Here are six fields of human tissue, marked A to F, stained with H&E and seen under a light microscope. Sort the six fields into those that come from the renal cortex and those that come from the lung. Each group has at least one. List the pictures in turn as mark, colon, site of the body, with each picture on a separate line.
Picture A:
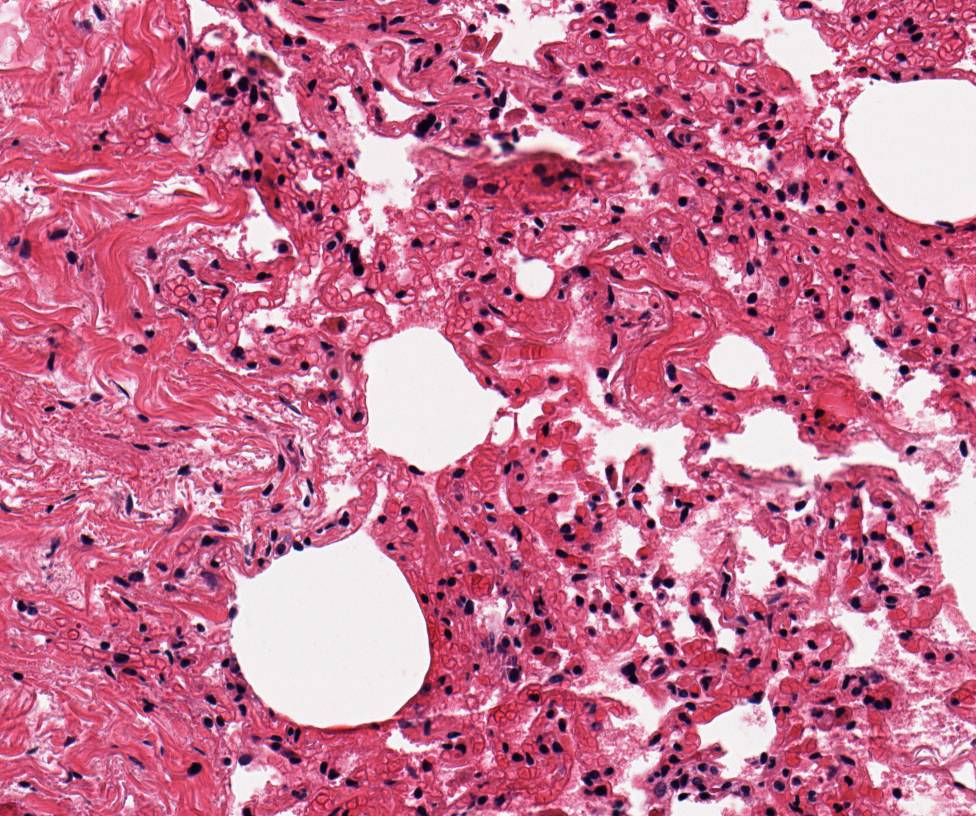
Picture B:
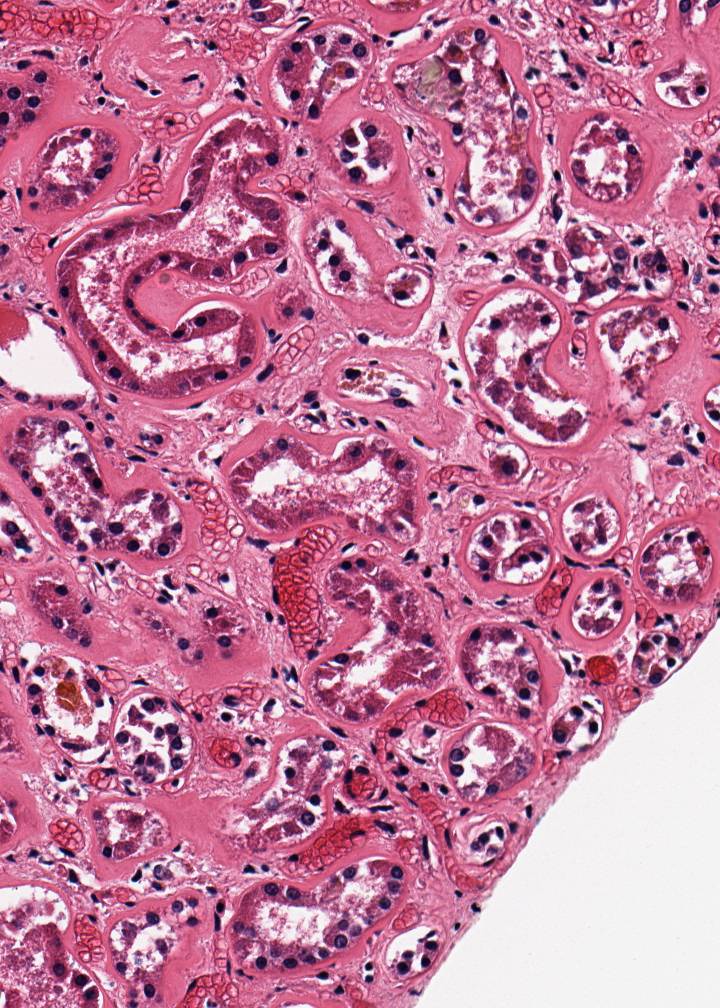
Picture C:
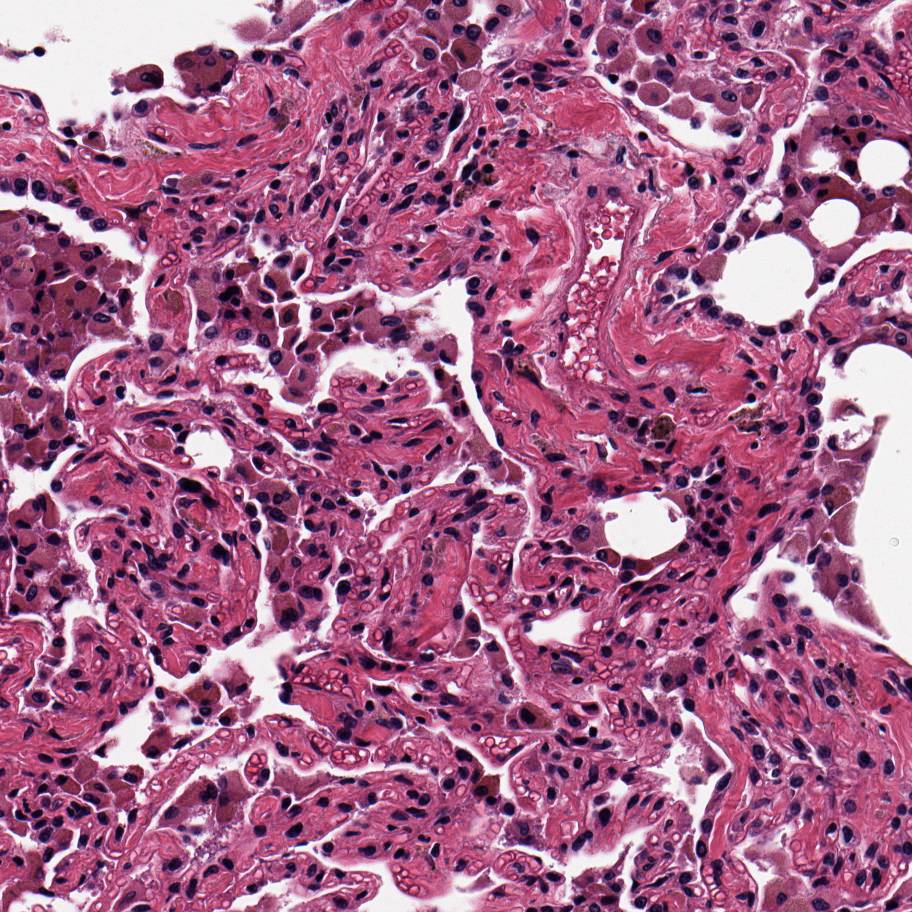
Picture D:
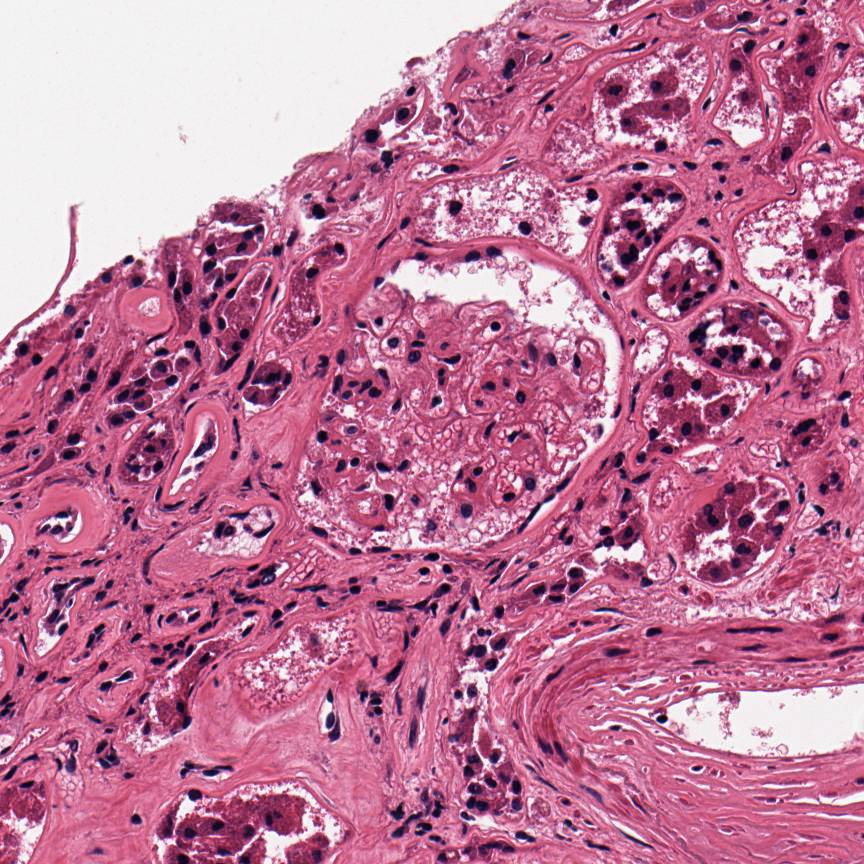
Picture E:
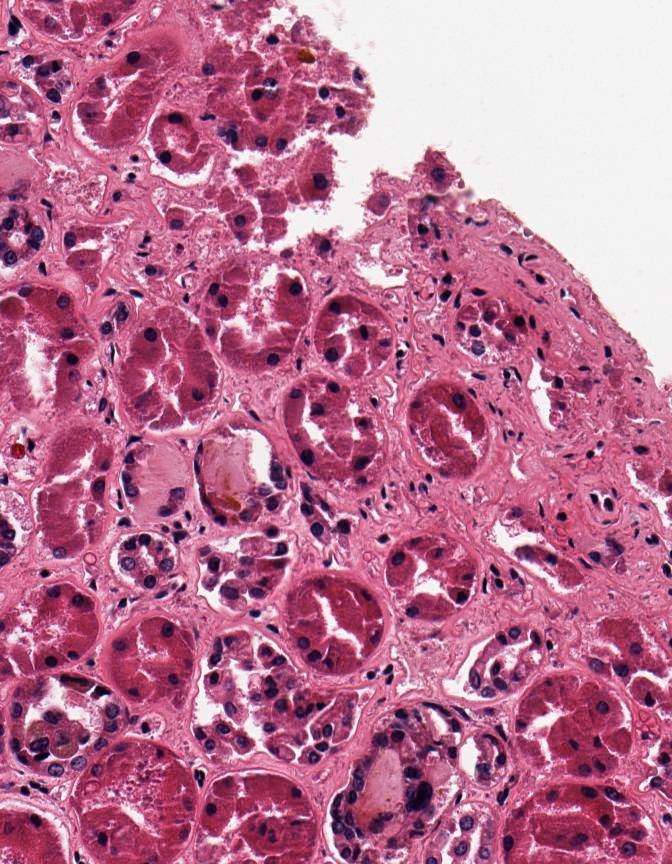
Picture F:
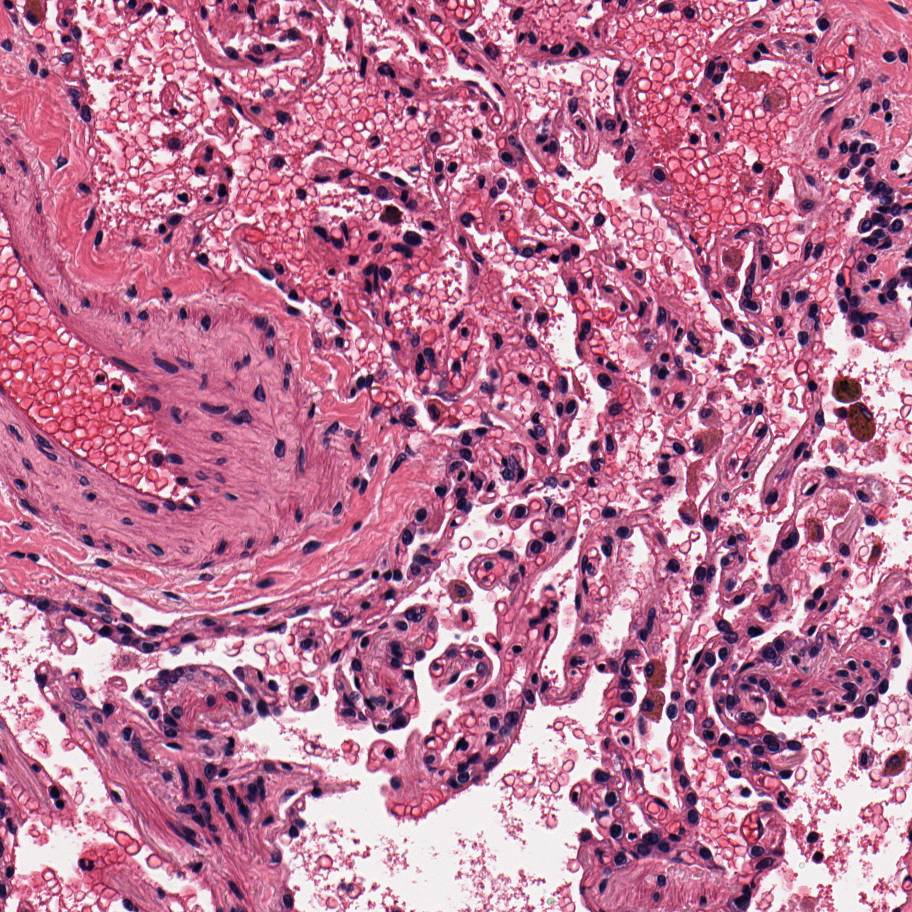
A: lung
B: renal cortex
C: lung
D: renal cortex
E: renal cortex
F: lung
